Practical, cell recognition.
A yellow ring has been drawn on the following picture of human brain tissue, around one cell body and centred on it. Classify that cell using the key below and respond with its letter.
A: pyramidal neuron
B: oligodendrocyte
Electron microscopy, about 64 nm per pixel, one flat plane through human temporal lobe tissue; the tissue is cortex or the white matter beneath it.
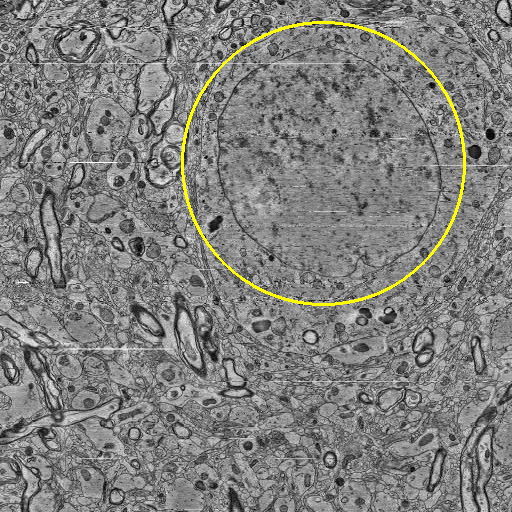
A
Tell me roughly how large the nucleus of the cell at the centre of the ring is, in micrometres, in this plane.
In this plane, the nucleus of the cell at the centre of the ring is about 15 micrometres across.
